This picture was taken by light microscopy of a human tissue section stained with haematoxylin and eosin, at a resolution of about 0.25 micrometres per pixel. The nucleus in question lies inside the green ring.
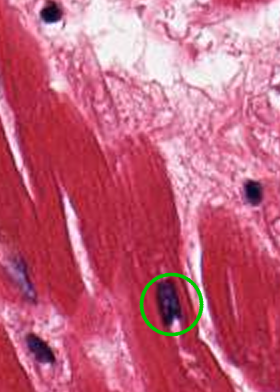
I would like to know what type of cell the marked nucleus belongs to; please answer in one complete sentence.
The marked nucleus is a nucleus of a cardiomyocyte.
